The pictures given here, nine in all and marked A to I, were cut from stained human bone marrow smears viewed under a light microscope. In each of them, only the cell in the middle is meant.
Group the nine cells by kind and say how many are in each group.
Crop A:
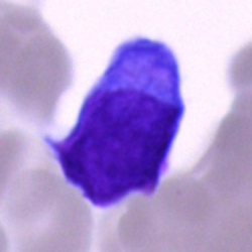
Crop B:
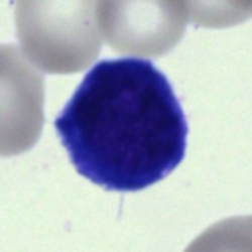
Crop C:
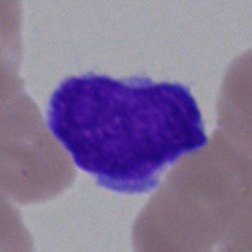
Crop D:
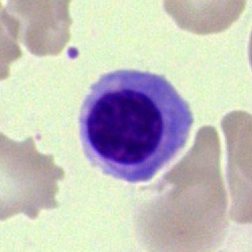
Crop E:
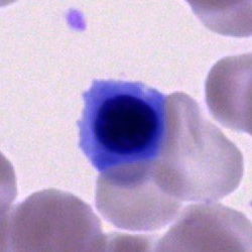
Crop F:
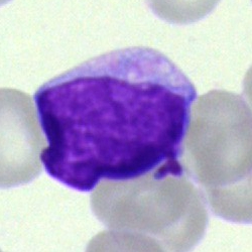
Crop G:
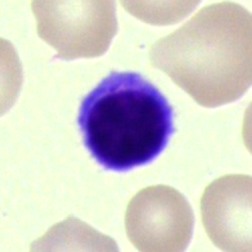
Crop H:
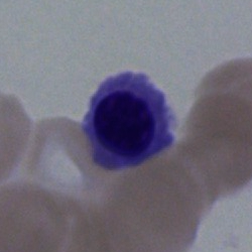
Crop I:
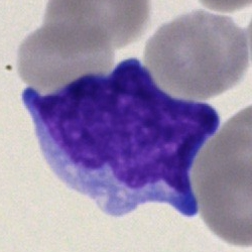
blast: 4
normoblast: 4
lymphocyte: 1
